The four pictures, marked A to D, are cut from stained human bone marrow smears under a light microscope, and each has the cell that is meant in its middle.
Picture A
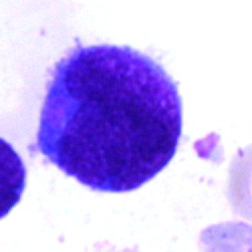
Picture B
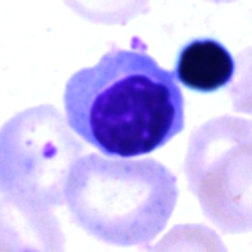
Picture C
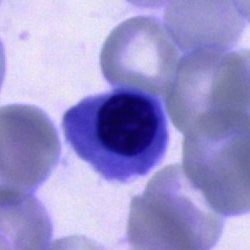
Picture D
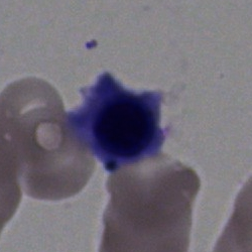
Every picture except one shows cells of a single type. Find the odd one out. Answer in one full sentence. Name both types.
The different one is picture A; it shows a blast, whereas all the others show erythroblasts.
